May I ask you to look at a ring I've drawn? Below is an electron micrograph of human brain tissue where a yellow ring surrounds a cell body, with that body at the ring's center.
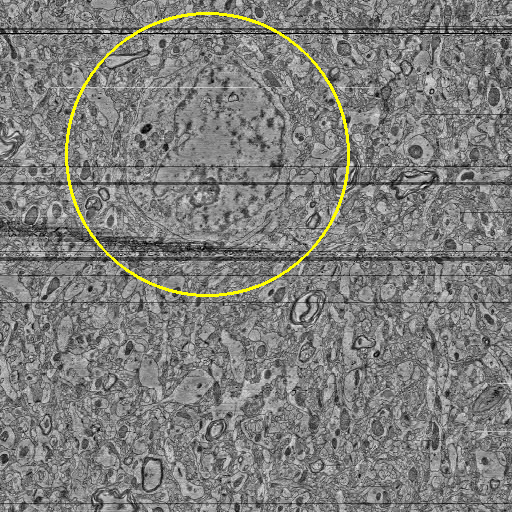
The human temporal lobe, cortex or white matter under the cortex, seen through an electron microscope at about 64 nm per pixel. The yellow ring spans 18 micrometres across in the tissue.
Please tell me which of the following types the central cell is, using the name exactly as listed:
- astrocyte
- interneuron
interneuron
